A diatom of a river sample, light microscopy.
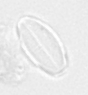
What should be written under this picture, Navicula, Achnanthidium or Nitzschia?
Achnanthidium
